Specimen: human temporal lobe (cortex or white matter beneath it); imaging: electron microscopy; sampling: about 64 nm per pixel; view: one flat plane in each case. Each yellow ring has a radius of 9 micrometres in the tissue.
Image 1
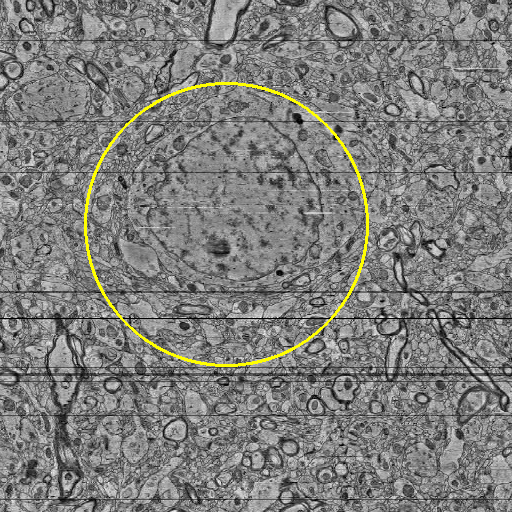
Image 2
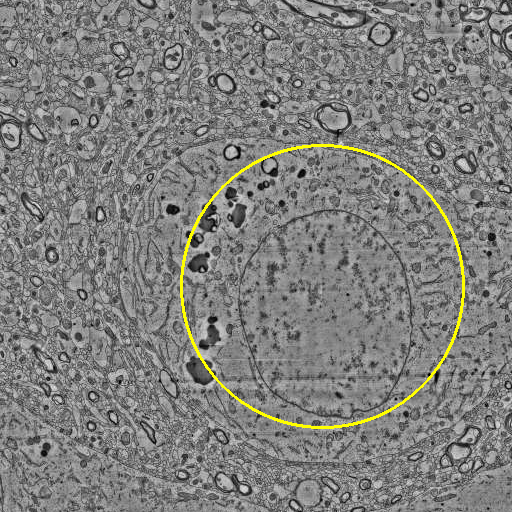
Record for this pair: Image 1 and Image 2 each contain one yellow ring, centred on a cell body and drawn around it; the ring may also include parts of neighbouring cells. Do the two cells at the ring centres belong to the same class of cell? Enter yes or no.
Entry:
yes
